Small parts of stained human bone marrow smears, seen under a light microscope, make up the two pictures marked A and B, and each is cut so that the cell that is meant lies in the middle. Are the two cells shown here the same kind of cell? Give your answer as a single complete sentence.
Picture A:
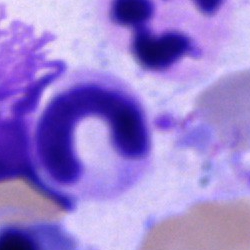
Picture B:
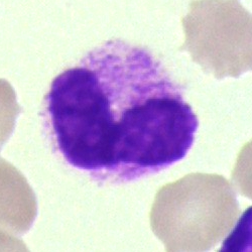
Yes, the two pictures both show band neutrophils.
